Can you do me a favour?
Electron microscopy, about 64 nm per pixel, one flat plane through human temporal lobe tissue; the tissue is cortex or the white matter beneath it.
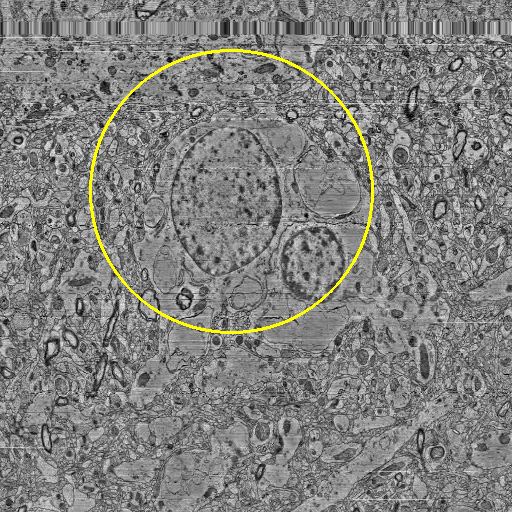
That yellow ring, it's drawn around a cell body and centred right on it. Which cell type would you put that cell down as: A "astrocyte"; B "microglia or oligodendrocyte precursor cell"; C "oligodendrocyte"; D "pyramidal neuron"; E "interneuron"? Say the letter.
A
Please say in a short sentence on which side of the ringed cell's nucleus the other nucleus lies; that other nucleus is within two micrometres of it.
The other nucleus is situated to the lower right of it.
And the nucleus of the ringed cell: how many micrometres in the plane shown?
About 10 by 7 micrometres in this plane.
